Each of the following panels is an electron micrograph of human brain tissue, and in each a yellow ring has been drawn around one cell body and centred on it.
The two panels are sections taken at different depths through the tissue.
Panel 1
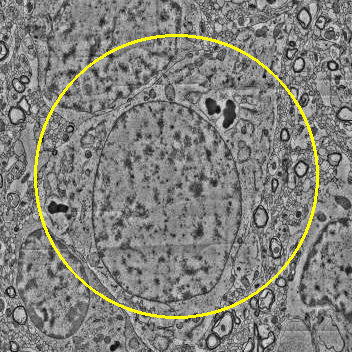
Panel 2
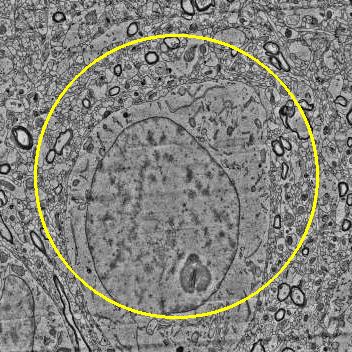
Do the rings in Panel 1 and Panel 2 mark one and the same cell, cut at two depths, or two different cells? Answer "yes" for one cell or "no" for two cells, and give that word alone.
no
